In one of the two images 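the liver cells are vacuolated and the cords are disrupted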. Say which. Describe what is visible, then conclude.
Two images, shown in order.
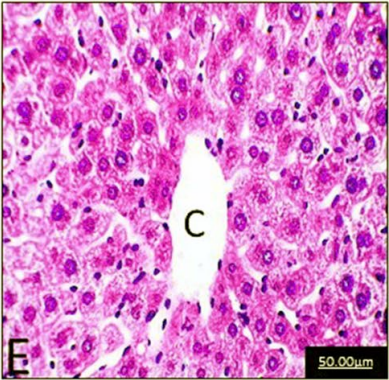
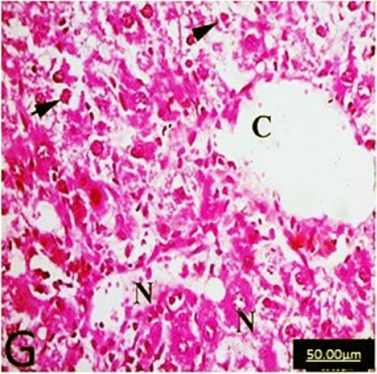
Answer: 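The second image. Second image: hepatocytes are pale, vacuolated and broken up, with red patches and a widened central vein. First image: hepatocytes form orderly cords with pink cytoplasm and round nuclei around a central vein.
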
